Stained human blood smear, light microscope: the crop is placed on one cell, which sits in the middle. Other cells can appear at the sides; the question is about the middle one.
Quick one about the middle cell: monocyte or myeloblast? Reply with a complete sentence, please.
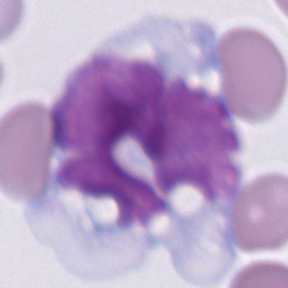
The cell marked by its central position in the crop is a monocyte.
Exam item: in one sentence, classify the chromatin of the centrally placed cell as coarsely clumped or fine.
Heads up, the chromatin is fine with no coarse clumps in it.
